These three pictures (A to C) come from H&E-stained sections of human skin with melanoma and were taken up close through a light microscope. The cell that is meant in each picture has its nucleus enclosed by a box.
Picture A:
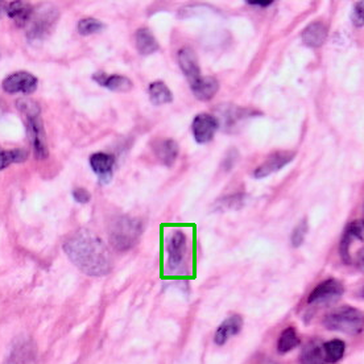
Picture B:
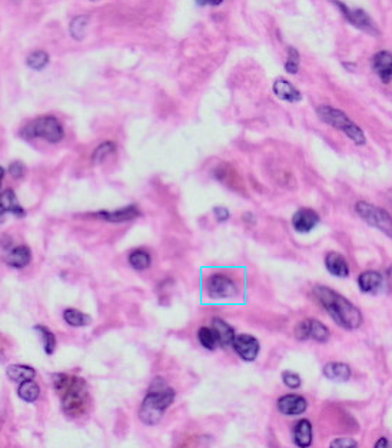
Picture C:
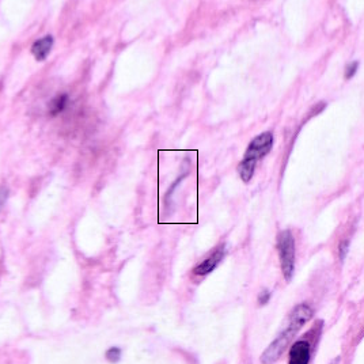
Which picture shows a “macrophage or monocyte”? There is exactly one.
B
